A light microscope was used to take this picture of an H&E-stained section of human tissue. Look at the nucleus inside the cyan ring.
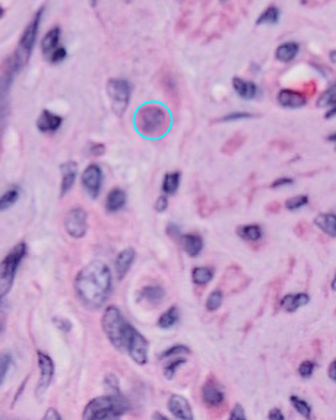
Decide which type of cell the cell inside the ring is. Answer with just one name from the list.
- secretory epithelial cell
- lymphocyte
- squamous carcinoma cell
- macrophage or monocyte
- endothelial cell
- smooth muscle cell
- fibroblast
smooth muscle cell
